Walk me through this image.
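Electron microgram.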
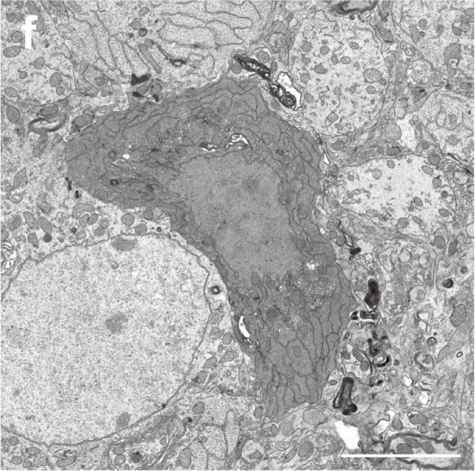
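Among pale neural profiles lies one cell far darker than its neighbours, with an irregular angular outline and densely packed cytoplasm around a dark nucleus, while an adjacent cell has a large pale round nucleus with a nucleolus. The electron-dense cell is a dark cell.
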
